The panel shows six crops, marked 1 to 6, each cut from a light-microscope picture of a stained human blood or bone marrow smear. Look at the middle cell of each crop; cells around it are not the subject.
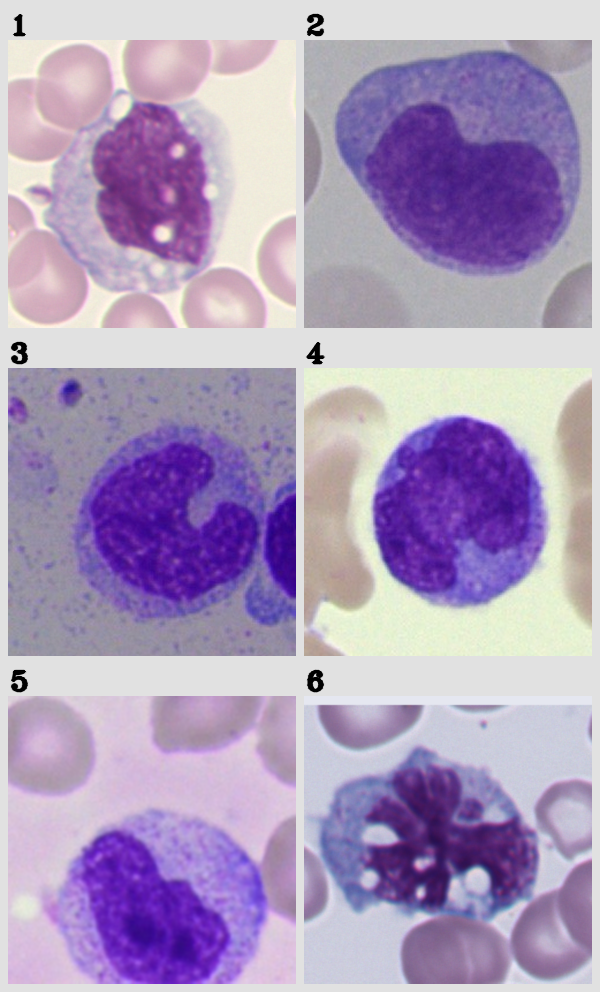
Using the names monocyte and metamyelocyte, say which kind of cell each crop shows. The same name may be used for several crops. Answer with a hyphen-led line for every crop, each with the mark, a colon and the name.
- 1: monocyte
- 2: monocyte
- 3: monocyte
- 4: monocyte
- 5: metamyelocyte
- 6: monocyte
